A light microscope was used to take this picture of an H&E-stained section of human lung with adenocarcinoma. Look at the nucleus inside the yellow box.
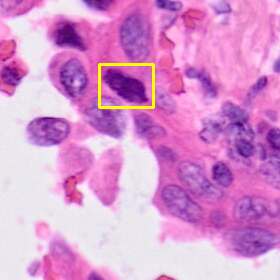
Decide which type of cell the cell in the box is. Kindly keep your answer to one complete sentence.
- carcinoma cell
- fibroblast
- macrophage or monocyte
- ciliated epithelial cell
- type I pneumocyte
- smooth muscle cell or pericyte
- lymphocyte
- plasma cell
For the purposes of cell typing, the cell in the box is categorized as a carcinoma cell.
